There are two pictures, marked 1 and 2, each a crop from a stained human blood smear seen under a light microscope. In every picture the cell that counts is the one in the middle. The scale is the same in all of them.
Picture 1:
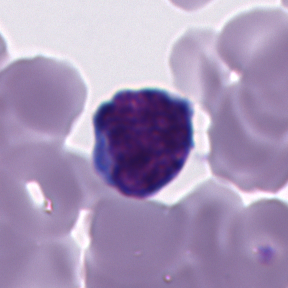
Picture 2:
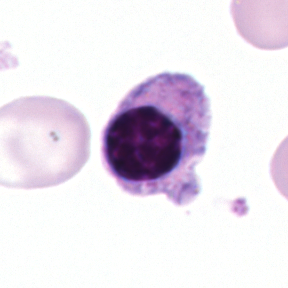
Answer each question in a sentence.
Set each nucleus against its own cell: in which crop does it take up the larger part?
In picture 1 the nucleus takes up the larger part of its cell.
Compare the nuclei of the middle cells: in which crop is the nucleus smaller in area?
It is the nucleus in picture 2; the one in picture 1 has about 2 times its area.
